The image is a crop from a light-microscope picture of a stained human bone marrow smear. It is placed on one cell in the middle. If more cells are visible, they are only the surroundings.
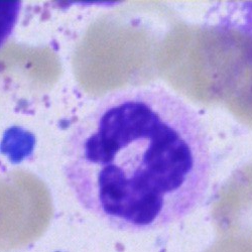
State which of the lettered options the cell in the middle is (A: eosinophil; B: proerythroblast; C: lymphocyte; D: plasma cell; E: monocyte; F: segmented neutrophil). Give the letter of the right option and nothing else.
F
